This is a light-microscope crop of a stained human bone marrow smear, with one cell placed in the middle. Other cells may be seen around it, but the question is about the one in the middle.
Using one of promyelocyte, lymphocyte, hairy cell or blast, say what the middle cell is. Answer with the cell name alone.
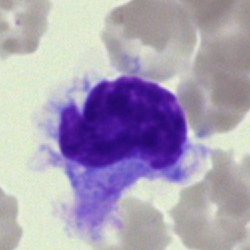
hairy cell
